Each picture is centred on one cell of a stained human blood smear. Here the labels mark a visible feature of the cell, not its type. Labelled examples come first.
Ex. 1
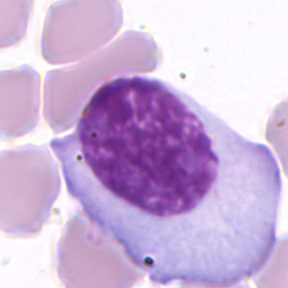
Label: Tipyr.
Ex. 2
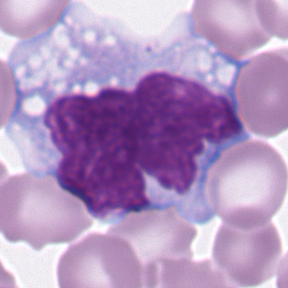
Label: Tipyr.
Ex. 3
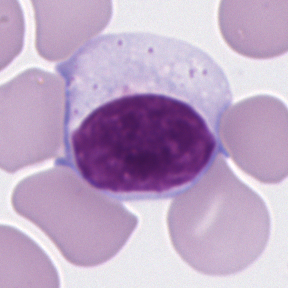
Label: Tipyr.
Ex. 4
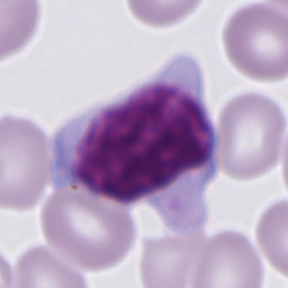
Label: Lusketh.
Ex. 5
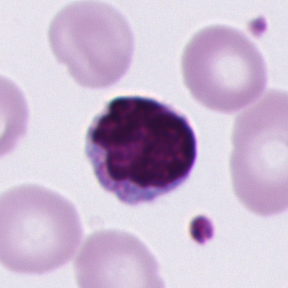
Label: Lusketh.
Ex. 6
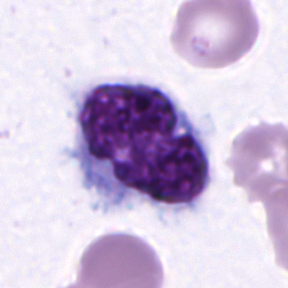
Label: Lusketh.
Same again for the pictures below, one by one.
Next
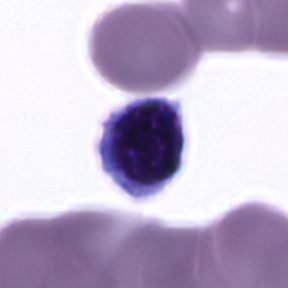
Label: Lusketh.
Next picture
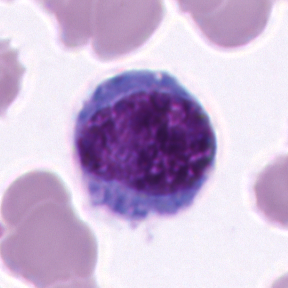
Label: Lusketh.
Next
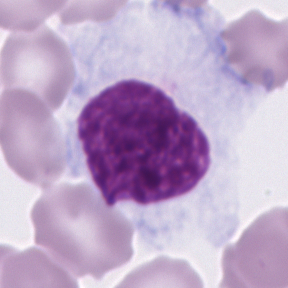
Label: Tipyr.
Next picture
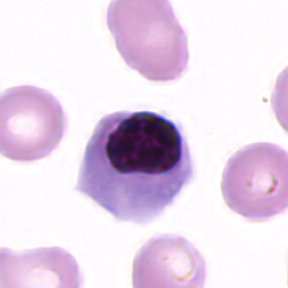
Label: Tipyr.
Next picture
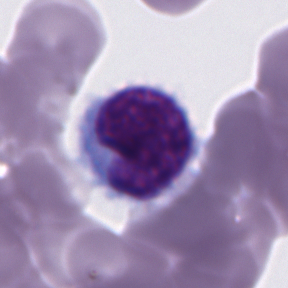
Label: Lusketh.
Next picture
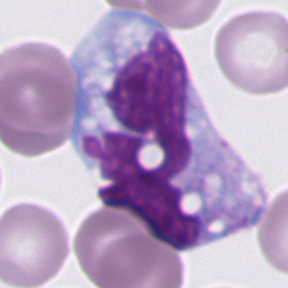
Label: Tipyr.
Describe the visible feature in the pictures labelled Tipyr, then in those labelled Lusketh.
Seen in Tipyr: abundant cytoplasm; seen in Lusketh: scant cytoplasm.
